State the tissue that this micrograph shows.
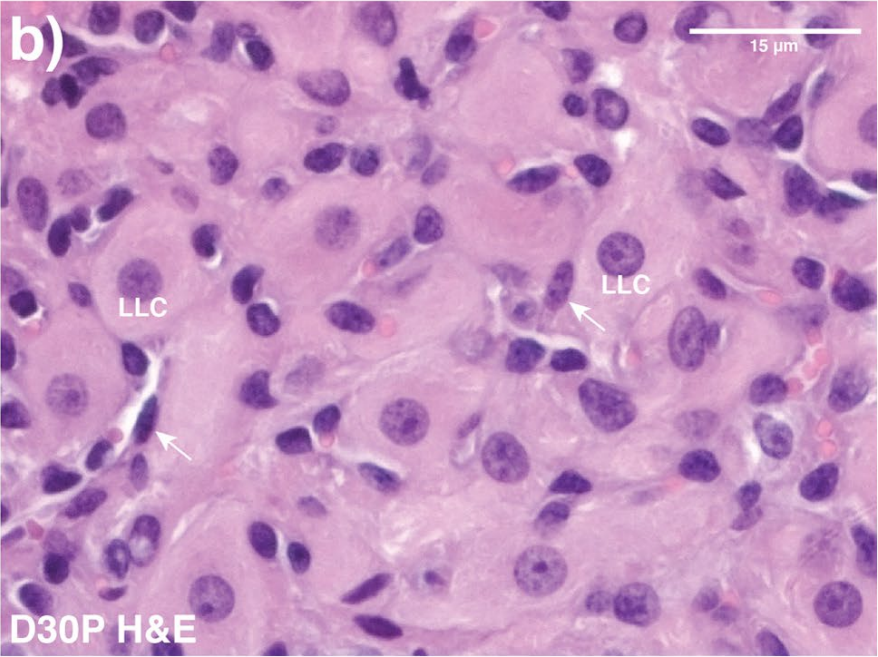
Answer: Corpora lutea.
